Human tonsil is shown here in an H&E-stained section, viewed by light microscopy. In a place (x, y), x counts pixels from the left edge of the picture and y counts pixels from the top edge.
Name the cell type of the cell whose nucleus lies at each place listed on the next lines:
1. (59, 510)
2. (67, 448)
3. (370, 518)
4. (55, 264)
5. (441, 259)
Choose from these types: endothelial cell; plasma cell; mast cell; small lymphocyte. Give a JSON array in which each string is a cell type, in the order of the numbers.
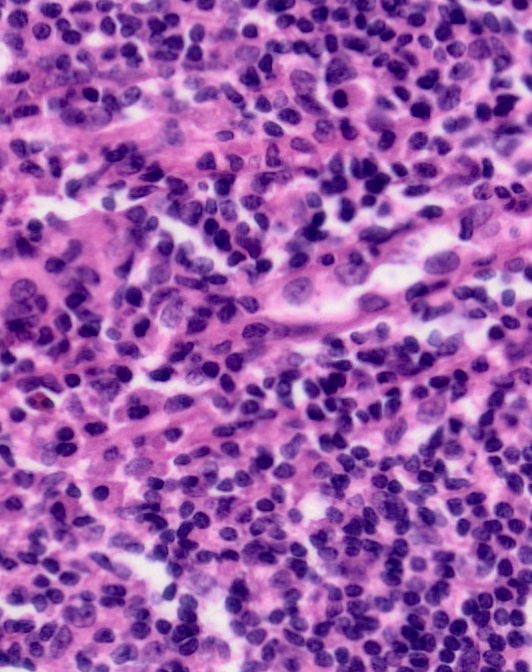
["plasma cell", "plasma cell", "small lymphocyte", "endothelial cell", "endothelial cell"]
